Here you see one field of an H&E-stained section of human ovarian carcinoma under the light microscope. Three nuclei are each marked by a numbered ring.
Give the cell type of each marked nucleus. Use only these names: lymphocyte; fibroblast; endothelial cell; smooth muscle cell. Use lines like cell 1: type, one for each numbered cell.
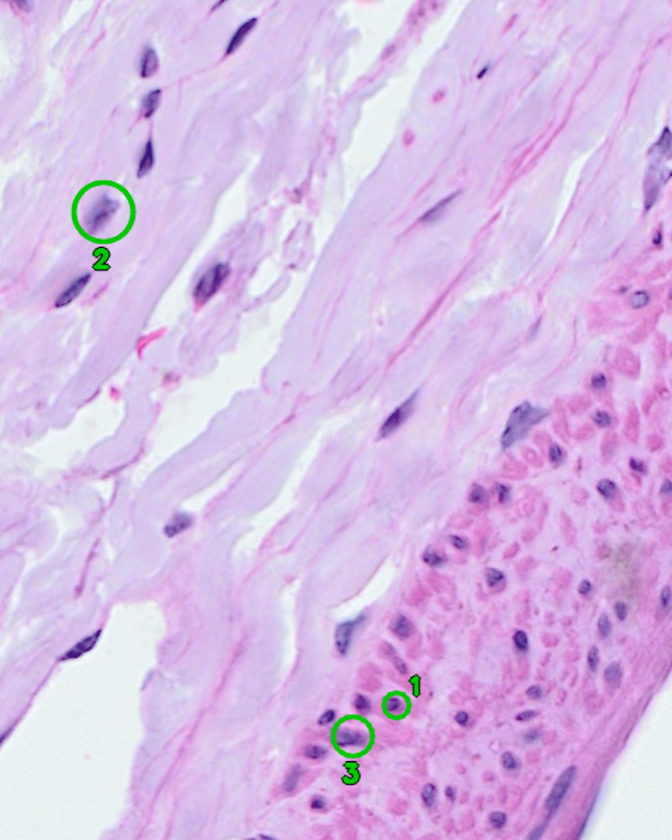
cell 1: smooth muscle cell
cell 2: fibroblast
cell 3: smooth muscle cell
